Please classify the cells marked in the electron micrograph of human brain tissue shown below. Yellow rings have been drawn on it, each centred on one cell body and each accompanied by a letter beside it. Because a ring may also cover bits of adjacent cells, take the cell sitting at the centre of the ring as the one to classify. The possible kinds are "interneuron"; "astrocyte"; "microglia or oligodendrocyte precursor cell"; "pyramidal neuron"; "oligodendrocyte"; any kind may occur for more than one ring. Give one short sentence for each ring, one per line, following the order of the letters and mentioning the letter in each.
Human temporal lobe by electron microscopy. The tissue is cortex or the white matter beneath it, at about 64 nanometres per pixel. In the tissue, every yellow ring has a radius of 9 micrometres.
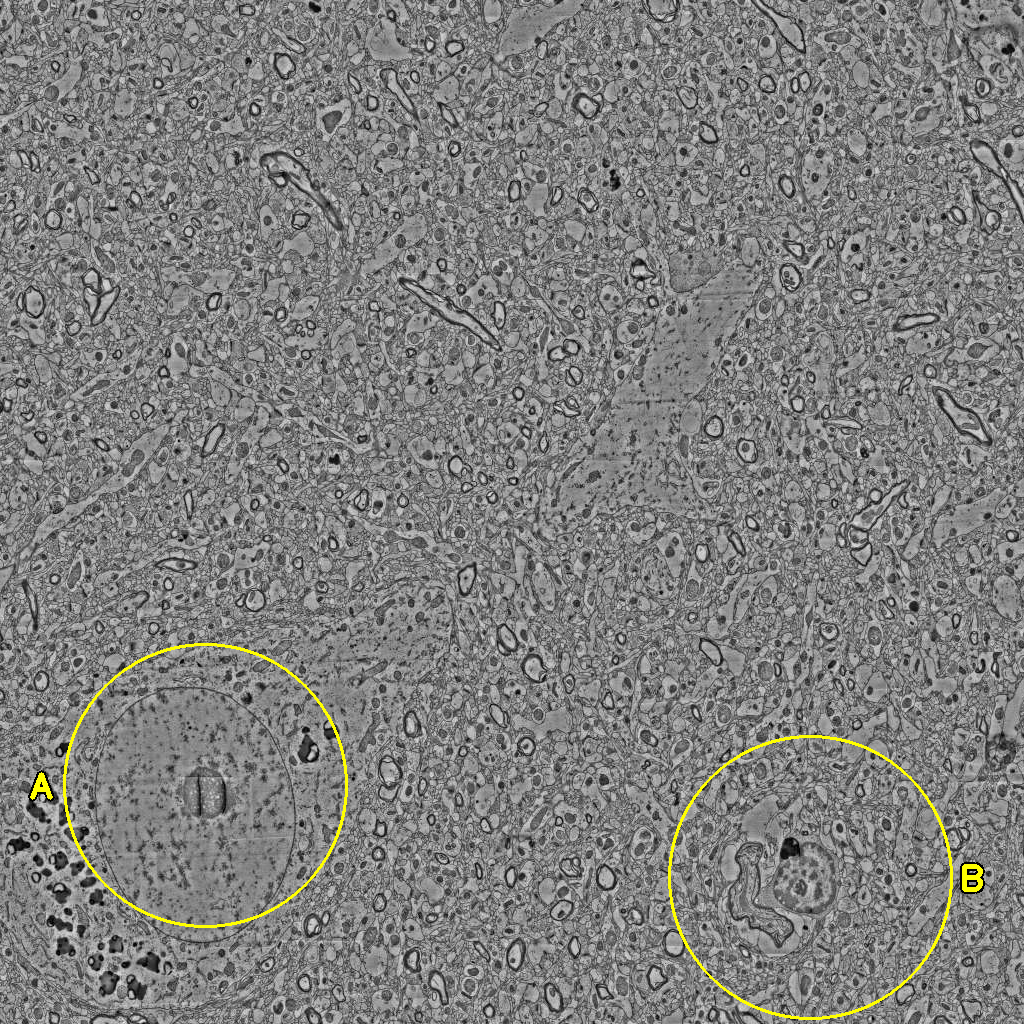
Ring A marks the cell body of a pyramidal neuron.
Ring B marks the cell body of an oligodendrocyte.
